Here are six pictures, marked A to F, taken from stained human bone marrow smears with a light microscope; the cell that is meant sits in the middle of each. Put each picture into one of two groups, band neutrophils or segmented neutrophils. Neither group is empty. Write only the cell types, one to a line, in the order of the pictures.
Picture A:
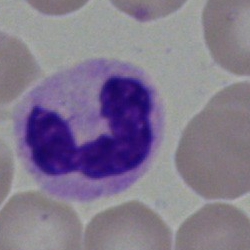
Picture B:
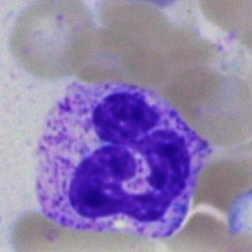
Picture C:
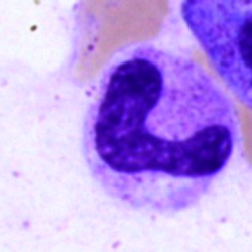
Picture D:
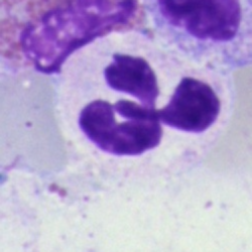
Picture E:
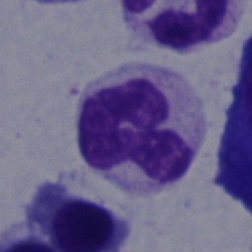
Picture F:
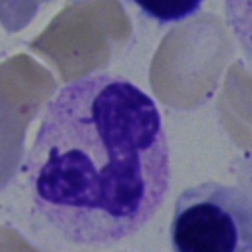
segmented neutrophil
segmented neutrophil
band neutrophil
segmented neutrophil
segmented neutrophil
band neutrophil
